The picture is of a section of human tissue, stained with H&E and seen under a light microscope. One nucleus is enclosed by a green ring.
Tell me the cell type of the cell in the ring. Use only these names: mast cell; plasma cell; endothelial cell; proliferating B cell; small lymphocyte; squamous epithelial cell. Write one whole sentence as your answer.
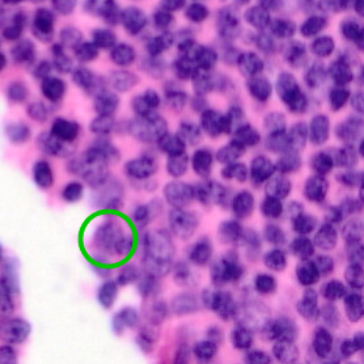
For the purposes of cell typing, the cell in the ring is categorized as a proliferating B cell.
